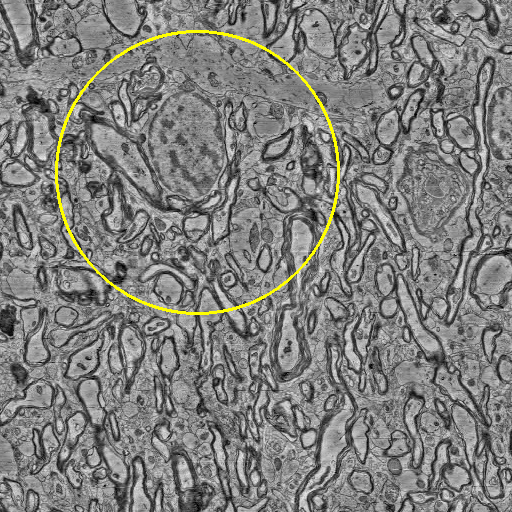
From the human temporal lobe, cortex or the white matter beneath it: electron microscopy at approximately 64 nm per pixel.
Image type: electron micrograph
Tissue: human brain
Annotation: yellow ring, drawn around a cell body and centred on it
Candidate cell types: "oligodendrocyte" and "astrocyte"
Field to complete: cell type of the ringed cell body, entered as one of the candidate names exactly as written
oligodendrocyte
